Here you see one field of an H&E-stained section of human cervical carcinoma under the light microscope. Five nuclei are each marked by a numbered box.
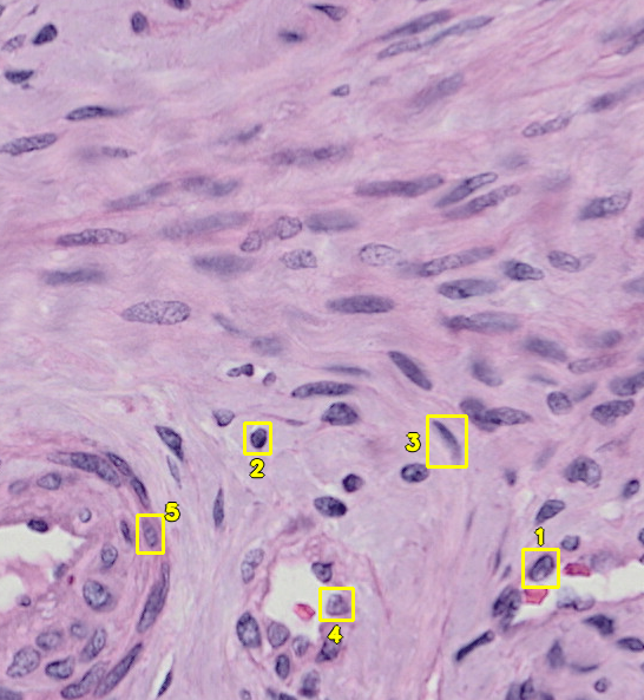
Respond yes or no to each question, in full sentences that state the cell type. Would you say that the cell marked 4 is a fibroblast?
No, an endothelial cell is what cell 4 is, not a fibroblast.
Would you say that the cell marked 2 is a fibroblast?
Yes, the cell pointed out as number 2 is a fibroblast.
